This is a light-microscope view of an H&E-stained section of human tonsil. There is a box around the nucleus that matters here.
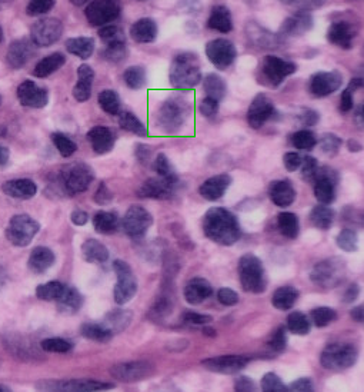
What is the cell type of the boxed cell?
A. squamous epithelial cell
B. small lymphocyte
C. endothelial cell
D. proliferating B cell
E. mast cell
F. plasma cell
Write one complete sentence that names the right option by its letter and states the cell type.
Option D is accurate, for the boxed cell is a proliferating B cell.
